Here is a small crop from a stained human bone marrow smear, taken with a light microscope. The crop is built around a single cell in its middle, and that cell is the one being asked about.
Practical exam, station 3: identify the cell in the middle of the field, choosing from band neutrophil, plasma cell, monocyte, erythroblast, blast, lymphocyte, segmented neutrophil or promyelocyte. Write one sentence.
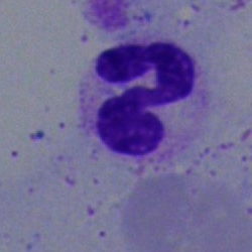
The cell sitting right in the middle is a segmented neutrophil.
